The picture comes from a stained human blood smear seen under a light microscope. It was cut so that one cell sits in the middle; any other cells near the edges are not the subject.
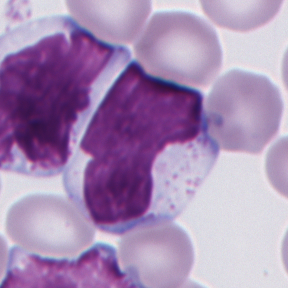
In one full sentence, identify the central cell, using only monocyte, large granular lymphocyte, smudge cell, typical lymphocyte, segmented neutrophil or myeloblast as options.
For this crop, the cell in the middle is a large granular lymphocyte.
